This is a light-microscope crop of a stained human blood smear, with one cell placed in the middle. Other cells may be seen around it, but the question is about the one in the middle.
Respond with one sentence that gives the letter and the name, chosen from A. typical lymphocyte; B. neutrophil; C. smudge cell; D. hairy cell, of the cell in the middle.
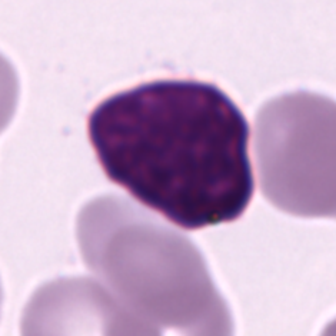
The best answer is option C, since the cell in the middle is a smudge cell.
